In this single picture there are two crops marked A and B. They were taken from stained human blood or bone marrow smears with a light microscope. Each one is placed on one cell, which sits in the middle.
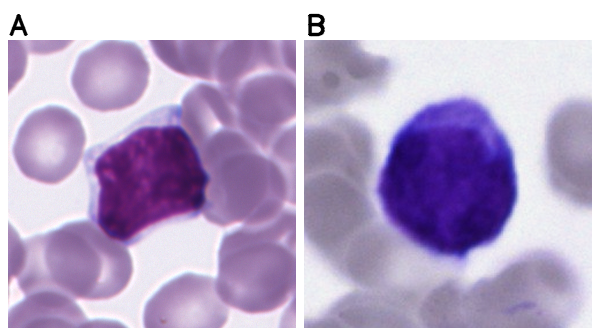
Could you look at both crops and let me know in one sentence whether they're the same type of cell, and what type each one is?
No, look again: crop A shows a lymphocyte, and crop B shows a blast.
